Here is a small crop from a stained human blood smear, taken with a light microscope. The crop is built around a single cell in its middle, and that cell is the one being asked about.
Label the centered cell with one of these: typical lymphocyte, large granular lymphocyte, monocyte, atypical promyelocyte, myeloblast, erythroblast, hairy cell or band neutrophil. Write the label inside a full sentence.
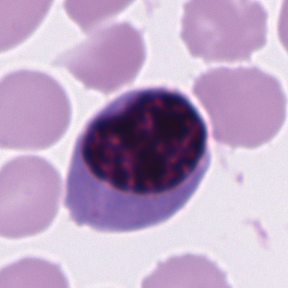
Centred in the crop is an erythroblast.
